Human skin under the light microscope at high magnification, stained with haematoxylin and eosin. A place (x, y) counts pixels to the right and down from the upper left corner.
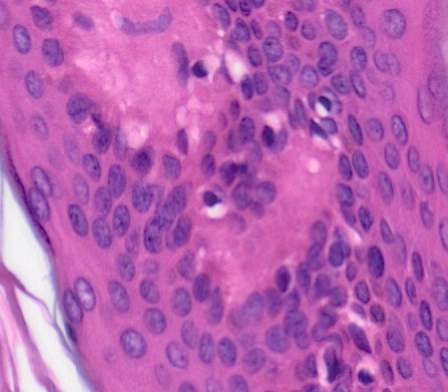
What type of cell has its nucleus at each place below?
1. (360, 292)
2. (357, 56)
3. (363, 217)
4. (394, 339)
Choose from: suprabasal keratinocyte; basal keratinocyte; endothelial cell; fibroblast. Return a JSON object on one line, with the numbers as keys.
{"1": "basal keratinocyte", "2": "suprabasal keratinocyte", "3": "basal keratinocyte", "4": "basal keratinocyte"}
